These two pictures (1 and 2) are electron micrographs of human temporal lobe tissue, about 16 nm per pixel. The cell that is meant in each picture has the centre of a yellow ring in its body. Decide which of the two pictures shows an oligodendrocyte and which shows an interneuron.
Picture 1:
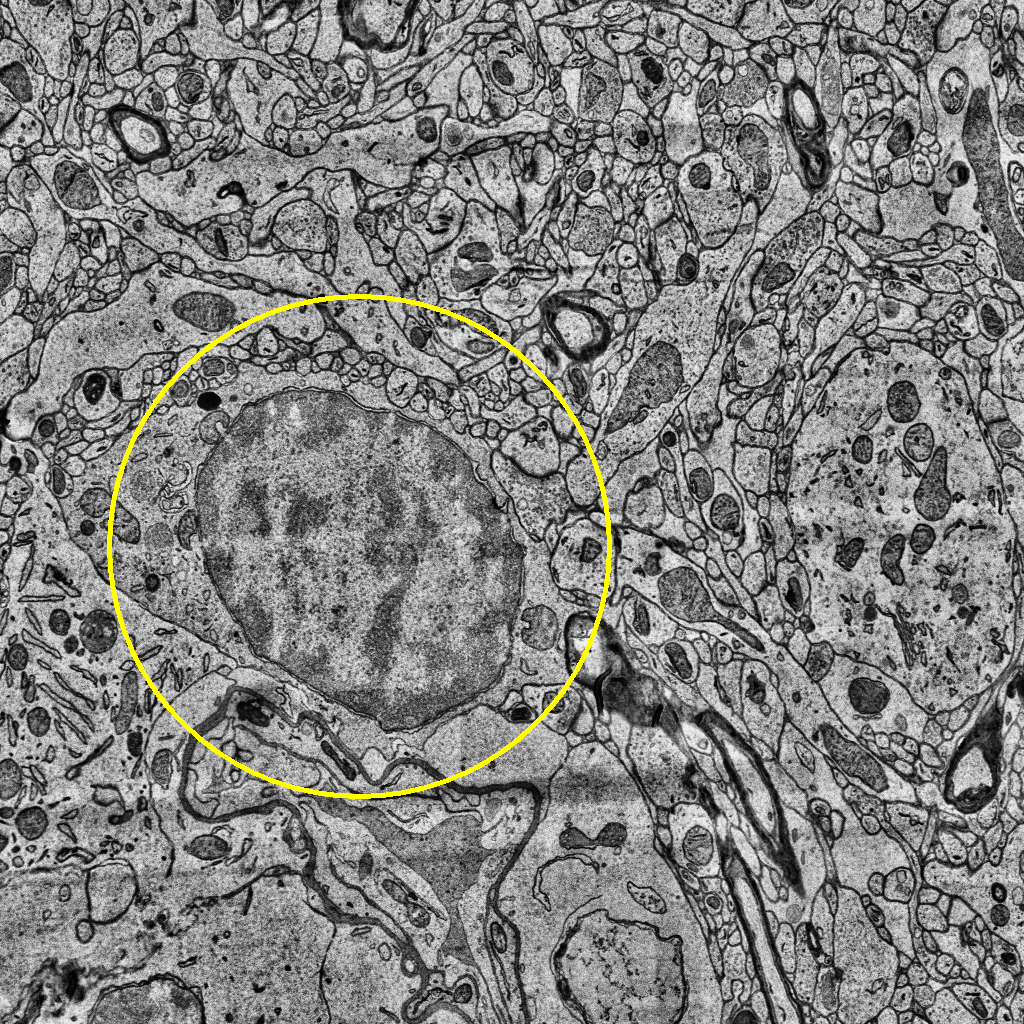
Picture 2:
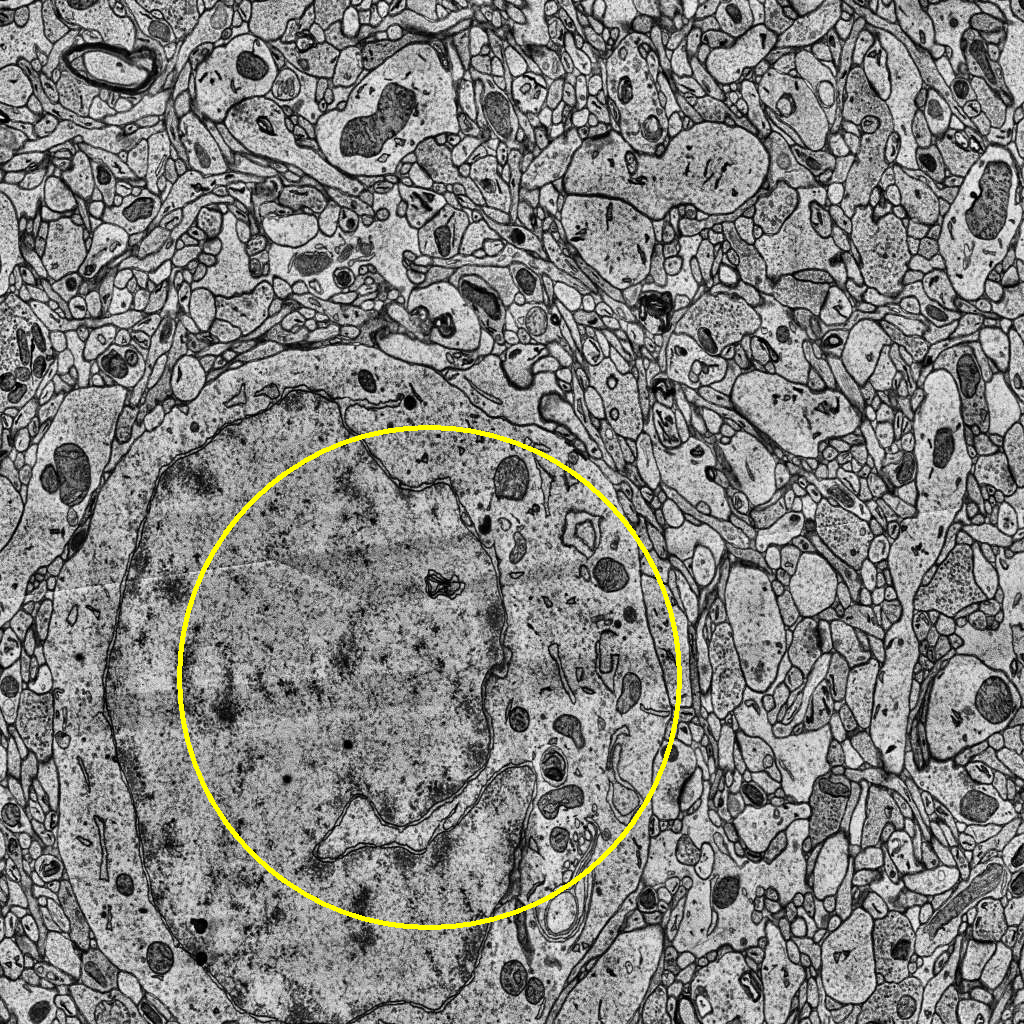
In picture 1 the cell is an oligodendrocyte; in picture 2, an interneuron.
